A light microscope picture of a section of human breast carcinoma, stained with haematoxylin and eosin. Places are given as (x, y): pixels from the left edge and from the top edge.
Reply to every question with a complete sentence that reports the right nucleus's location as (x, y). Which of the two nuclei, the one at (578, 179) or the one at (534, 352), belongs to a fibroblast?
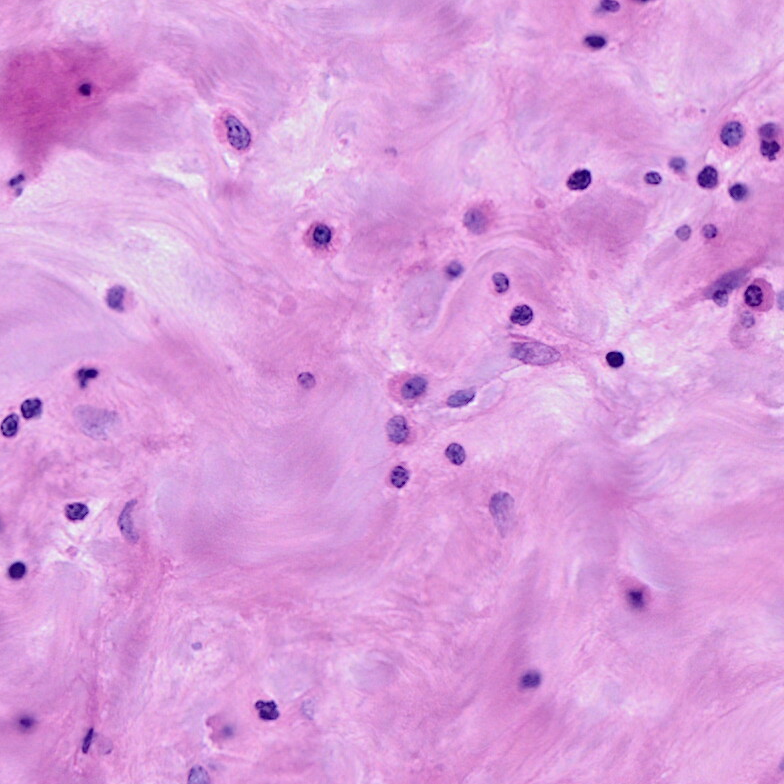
The nucleus that belongs to a fibroblast sits at (534, 352).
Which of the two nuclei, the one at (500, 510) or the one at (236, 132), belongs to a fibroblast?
The nucleus at (500, 510), rather than the other one, belongs to a fibroblast.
